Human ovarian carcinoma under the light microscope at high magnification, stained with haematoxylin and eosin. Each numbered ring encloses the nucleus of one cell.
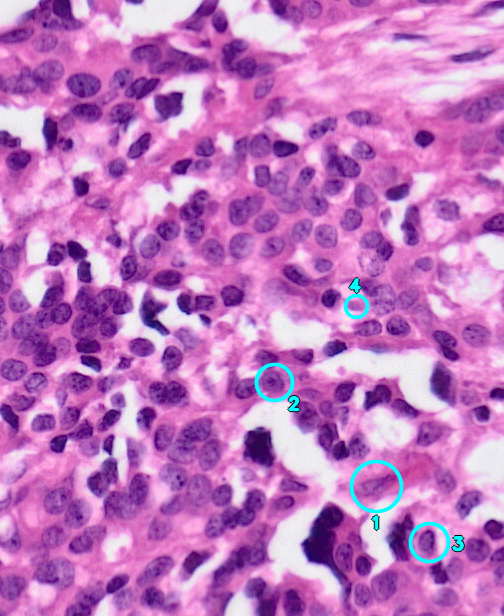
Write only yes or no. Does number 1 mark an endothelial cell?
yes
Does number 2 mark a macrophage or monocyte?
no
